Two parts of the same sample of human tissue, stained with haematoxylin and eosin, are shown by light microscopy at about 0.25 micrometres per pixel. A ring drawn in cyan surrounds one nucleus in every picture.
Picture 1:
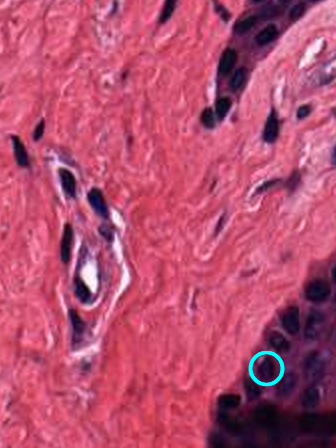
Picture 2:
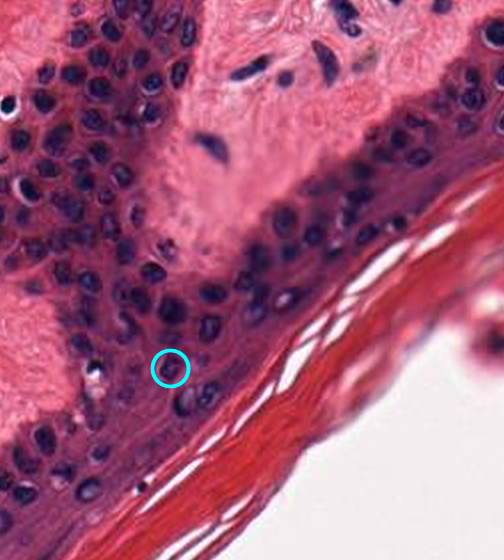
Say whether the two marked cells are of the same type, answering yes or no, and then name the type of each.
Yes, both are keratinocytes.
